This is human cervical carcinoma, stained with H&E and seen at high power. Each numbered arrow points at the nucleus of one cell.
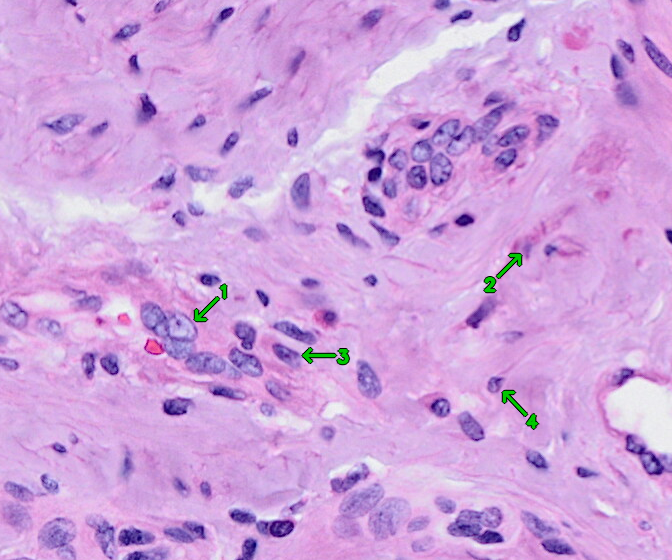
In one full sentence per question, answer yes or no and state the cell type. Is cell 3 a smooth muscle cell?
Yes, the cell that the number 3 labels is a smooth muscle cell.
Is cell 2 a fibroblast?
No, cell 2 is not a fibroblast, but is instead a smooth muscle cell.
